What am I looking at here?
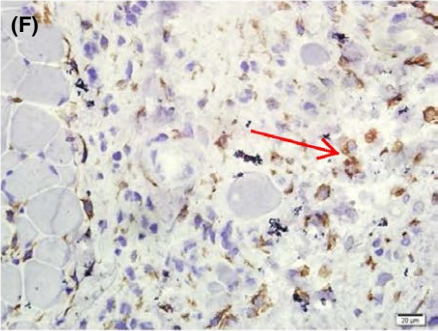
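Rounded, plump brown-stained cells with granular cytoplasm are scattered through a pale, disorganized area of muscle, among blue nuclei. Intact muscle fibers with clear outlines border the area at the left. The stained cells gather where fiber structure has broken down, as macrophages accumulating in necrotic myofibers.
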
